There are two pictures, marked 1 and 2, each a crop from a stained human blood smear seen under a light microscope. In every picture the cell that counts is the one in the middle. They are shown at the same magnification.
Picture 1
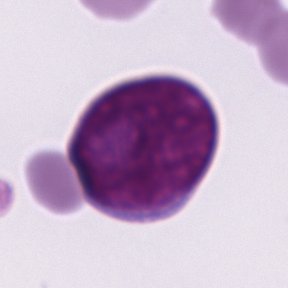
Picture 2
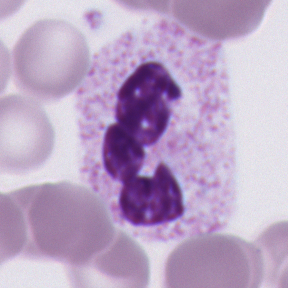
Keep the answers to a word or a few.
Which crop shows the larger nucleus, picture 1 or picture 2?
1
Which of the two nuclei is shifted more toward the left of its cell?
2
